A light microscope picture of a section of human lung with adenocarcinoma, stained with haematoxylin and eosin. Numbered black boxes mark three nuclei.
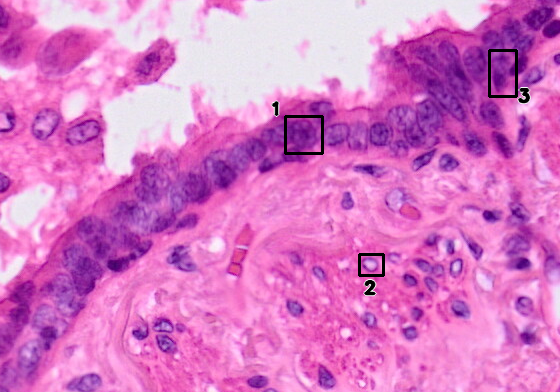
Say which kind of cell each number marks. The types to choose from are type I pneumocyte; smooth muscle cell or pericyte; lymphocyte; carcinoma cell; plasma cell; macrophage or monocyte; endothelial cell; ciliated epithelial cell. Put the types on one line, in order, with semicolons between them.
ciliated epithelial cell; smooth muscle cell or pericyte; ciliated epithelial cell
